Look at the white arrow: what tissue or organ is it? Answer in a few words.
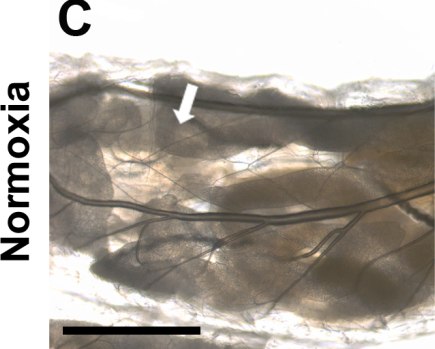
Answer: larval fat body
